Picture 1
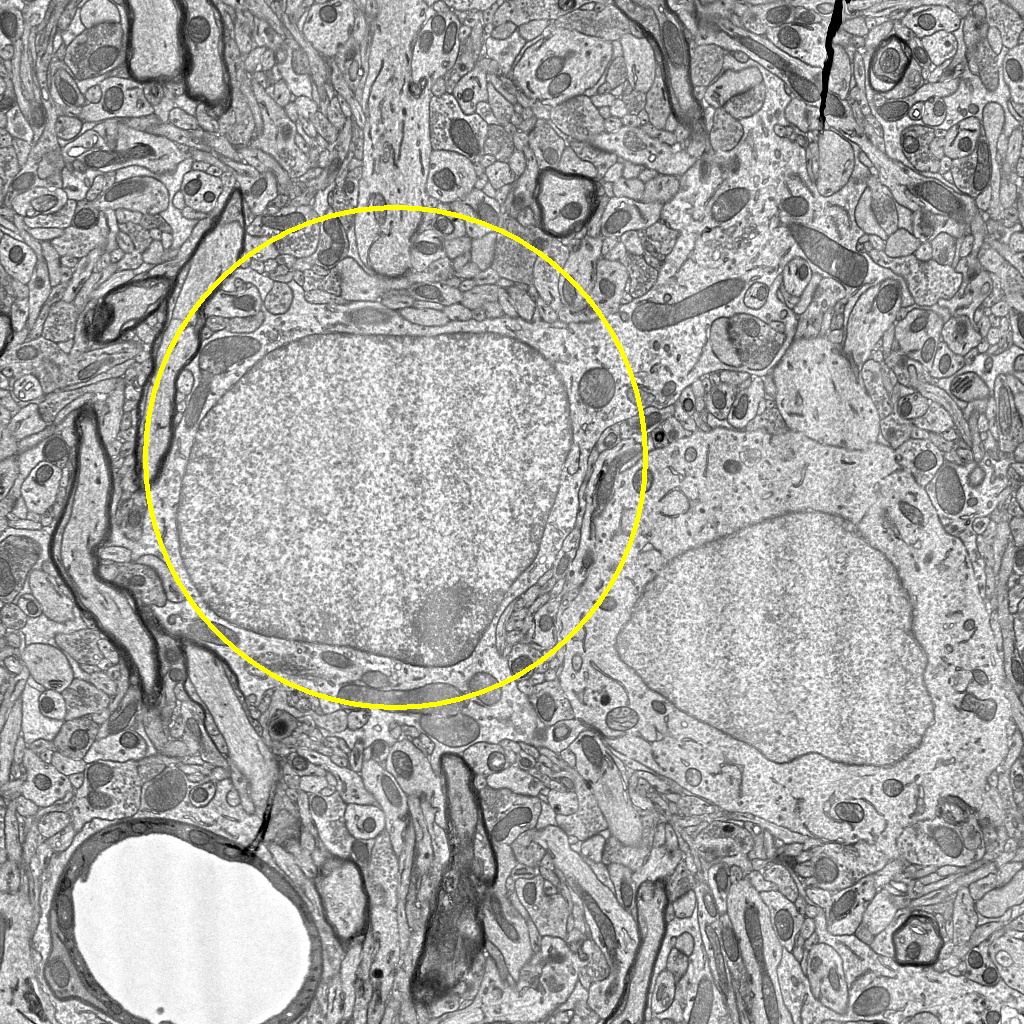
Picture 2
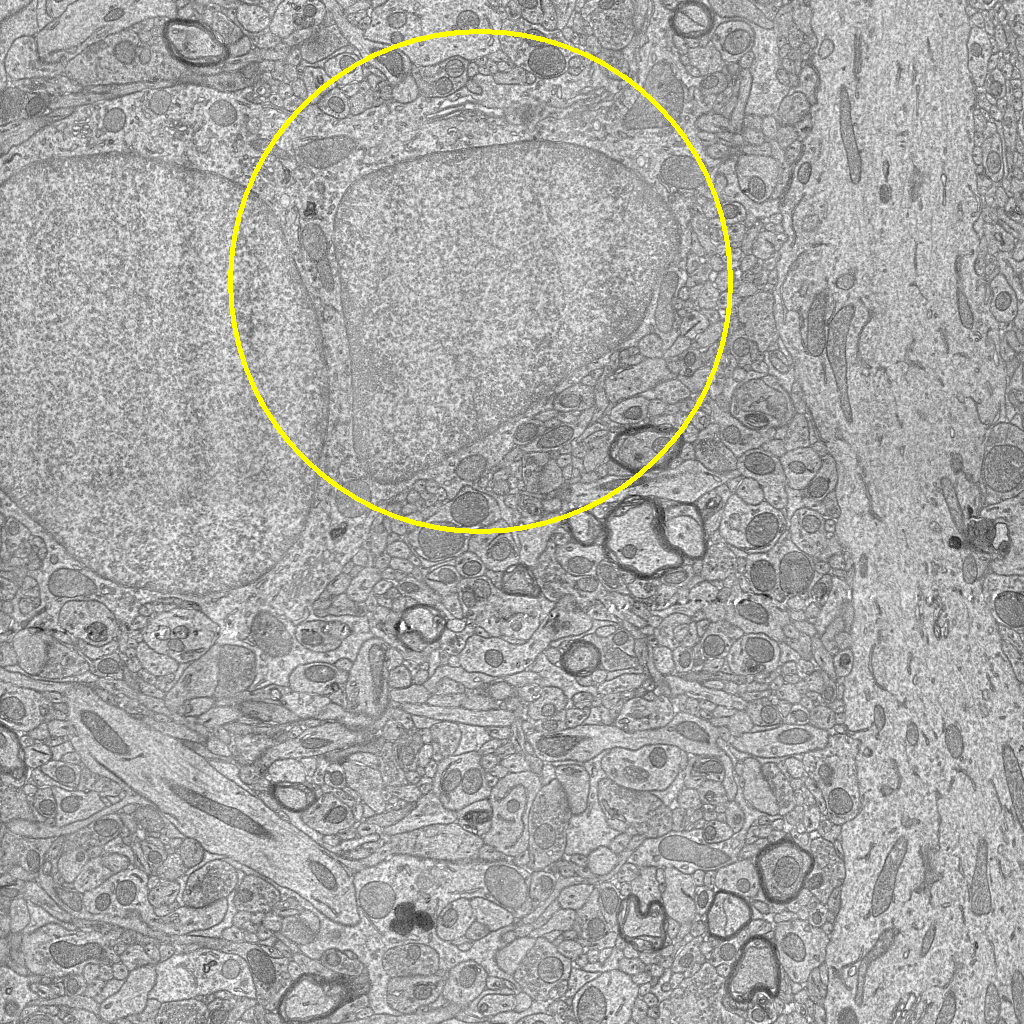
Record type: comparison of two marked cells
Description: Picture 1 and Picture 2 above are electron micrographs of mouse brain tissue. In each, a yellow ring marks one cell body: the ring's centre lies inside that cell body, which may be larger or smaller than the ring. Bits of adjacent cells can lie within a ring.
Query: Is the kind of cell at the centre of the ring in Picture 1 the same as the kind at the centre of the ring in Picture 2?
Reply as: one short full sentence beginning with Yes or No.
Yes, the two cells at the ring centres are of the same kind.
